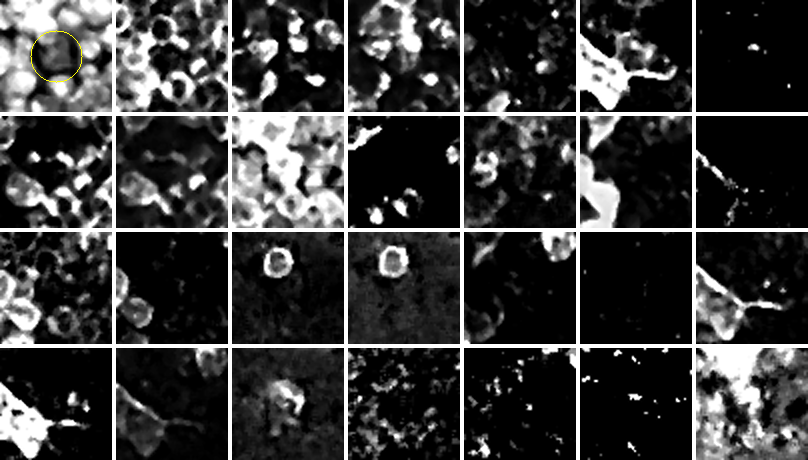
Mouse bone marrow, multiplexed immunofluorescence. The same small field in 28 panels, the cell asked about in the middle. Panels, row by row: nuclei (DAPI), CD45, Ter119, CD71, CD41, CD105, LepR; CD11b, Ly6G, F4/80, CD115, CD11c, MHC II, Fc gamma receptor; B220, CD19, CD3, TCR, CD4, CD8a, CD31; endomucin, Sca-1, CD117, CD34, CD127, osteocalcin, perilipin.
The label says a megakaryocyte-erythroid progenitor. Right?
Wrong: this is an erythroblast.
